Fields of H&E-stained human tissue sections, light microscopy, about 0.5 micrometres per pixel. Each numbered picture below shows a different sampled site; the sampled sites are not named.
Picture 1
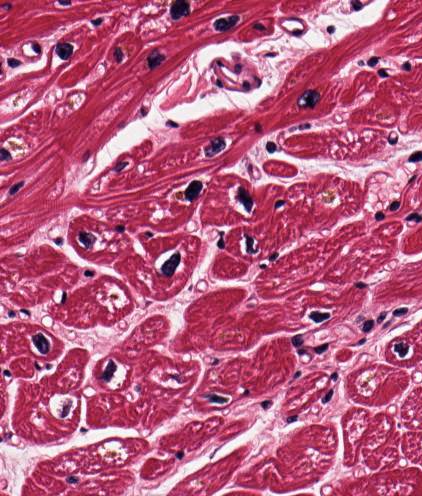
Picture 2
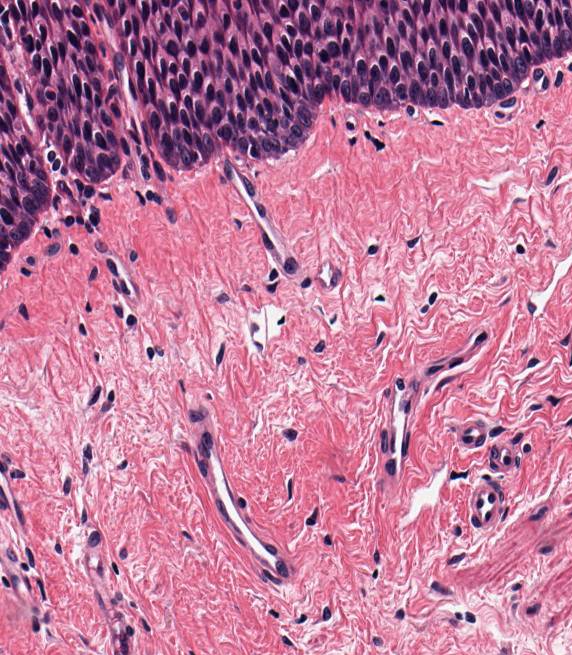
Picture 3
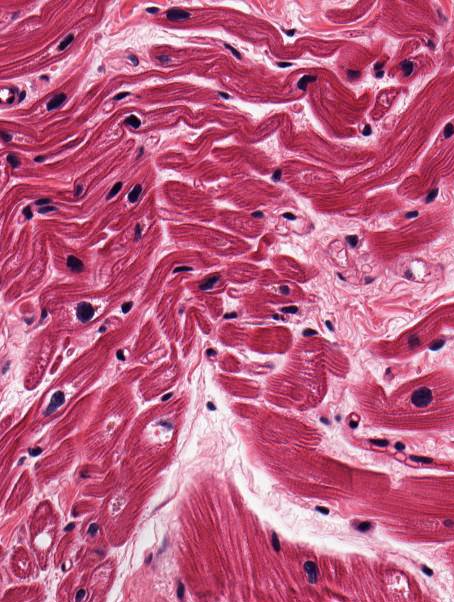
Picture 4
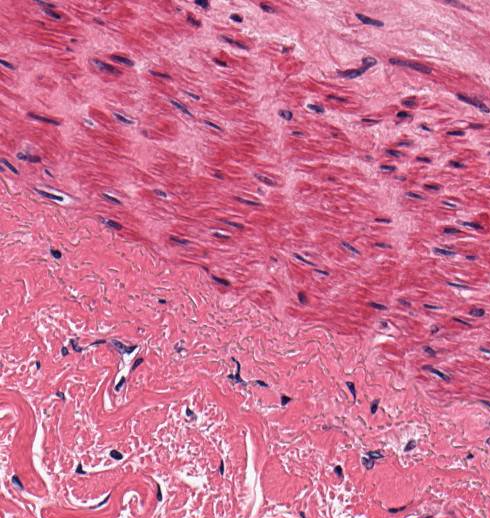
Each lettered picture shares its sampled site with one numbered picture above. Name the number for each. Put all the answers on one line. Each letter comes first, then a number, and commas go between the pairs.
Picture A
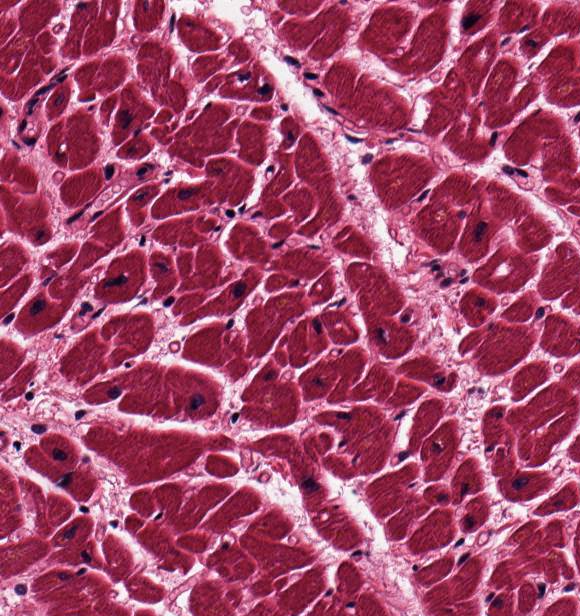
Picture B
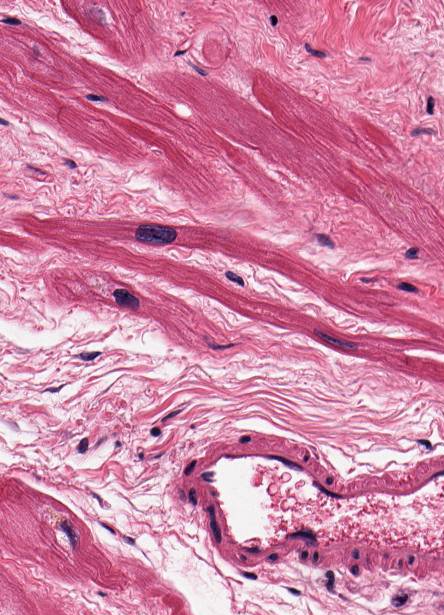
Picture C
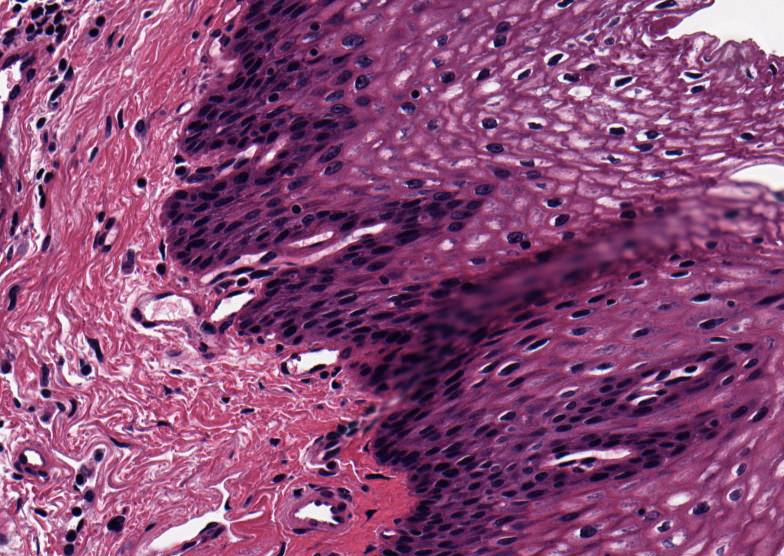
A 1, B 3, C 2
